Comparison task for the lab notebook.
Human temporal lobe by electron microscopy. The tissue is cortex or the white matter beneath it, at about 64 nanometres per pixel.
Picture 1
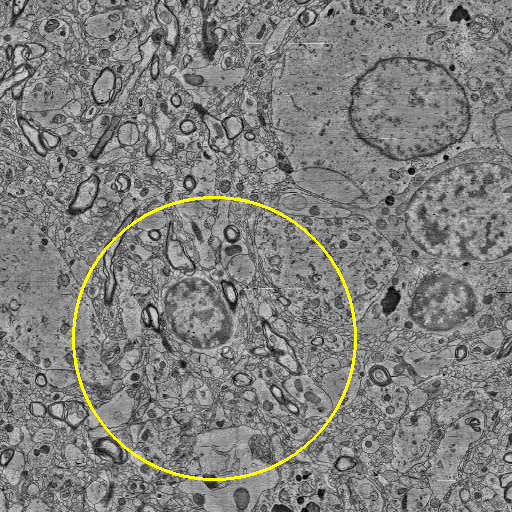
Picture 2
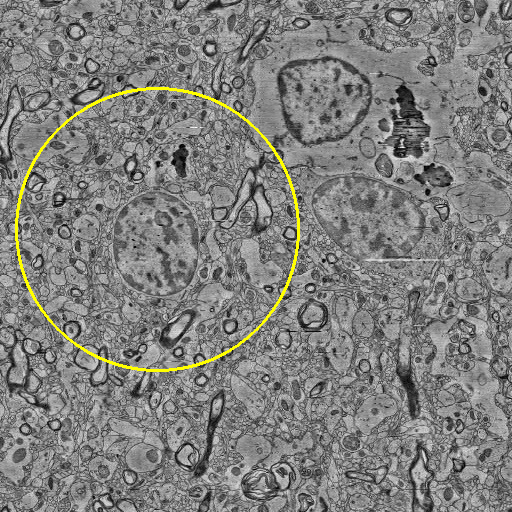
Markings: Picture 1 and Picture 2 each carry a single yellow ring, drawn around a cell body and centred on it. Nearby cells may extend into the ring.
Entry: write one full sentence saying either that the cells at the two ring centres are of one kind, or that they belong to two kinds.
The cells sitting at the ring centres in Picture 1 and Picture 2 are of one kind.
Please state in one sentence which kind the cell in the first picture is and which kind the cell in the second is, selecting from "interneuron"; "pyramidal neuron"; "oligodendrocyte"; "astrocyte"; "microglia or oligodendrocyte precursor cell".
Both pictures show a microglial cell or oligodendrocyte precursor cell at the centre of the ring.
